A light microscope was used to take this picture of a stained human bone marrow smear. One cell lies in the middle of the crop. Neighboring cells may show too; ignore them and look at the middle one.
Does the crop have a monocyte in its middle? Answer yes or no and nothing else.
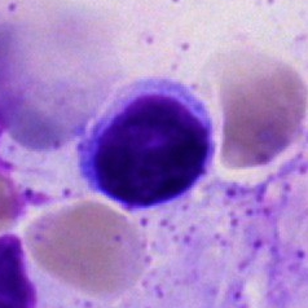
no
